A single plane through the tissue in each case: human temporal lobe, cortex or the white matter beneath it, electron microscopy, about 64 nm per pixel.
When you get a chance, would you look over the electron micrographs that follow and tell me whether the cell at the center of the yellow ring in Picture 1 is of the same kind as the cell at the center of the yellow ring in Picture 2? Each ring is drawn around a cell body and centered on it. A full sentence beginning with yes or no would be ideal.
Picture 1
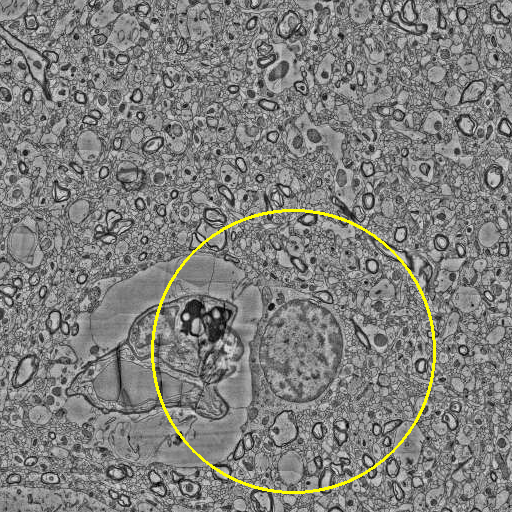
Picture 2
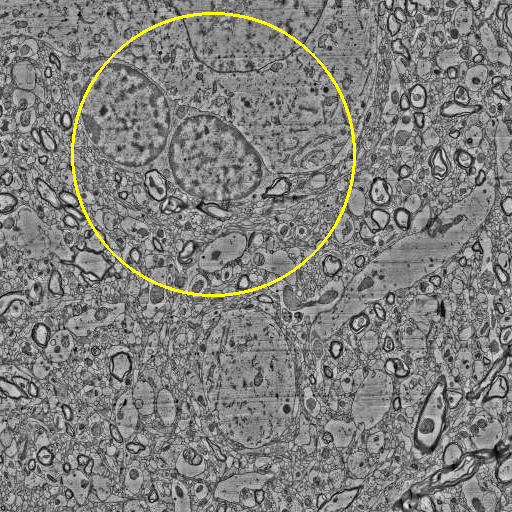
No, they are two kinds of cell.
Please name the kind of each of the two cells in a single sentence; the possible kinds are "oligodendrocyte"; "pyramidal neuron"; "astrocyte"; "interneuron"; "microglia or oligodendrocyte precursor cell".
In the first picture the ring is centred on an oligodendrocyte, and in the second on a microglial cell or oligodendrocyte precursor cell.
